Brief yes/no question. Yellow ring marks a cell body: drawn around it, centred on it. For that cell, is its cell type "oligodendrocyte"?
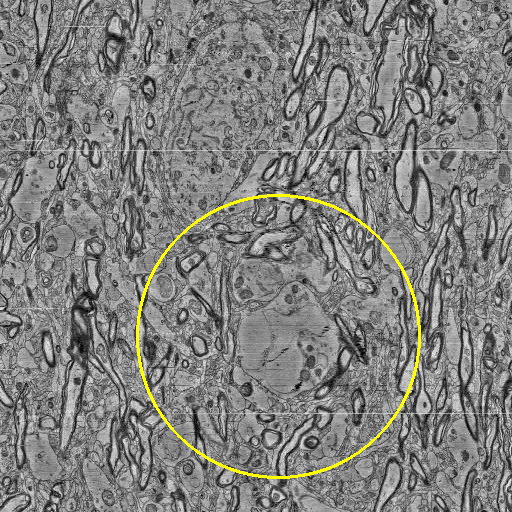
No, the cell type is another.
